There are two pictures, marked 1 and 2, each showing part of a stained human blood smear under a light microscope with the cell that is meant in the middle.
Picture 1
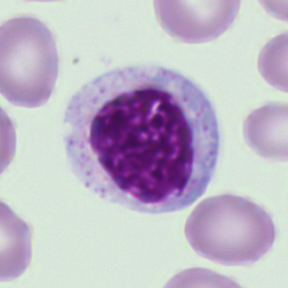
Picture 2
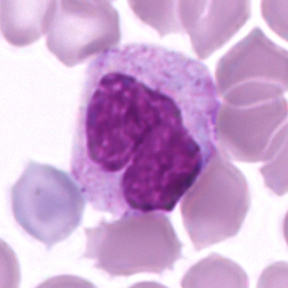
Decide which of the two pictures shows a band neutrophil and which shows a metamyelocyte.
1: metamyelocyte
2: band neutrophil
